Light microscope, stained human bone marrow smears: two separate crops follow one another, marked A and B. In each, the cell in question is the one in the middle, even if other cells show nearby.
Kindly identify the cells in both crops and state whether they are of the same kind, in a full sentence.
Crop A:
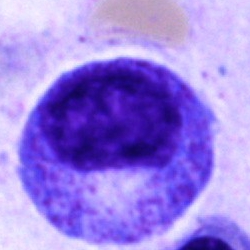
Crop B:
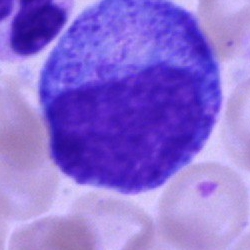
Yes, in the two crops, promyelocytes are the cells at the centre.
